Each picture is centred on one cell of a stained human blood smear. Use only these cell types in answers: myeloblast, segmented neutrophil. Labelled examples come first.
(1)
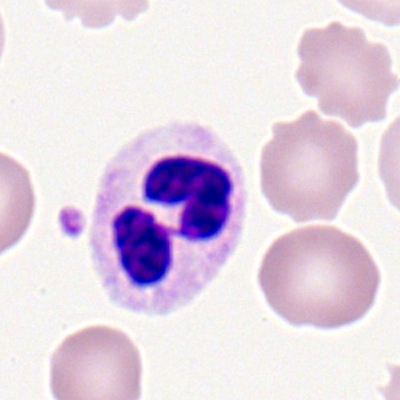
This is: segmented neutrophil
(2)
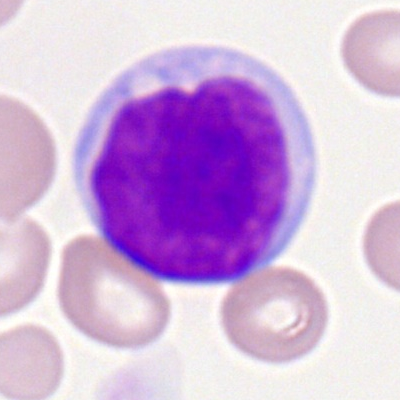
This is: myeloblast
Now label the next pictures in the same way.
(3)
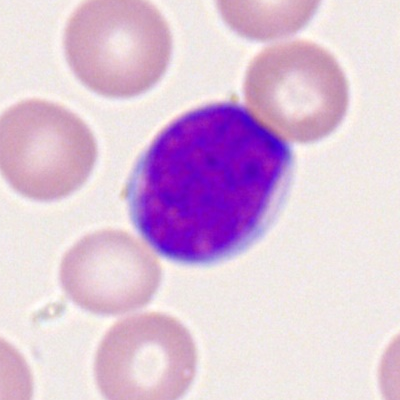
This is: myeloblast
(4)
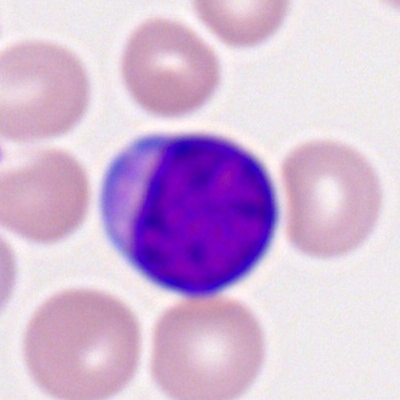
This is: myeloblast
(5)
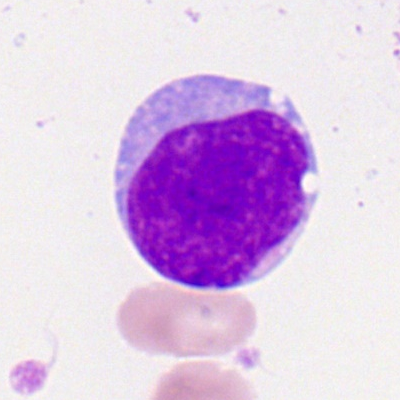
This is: myeloblast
